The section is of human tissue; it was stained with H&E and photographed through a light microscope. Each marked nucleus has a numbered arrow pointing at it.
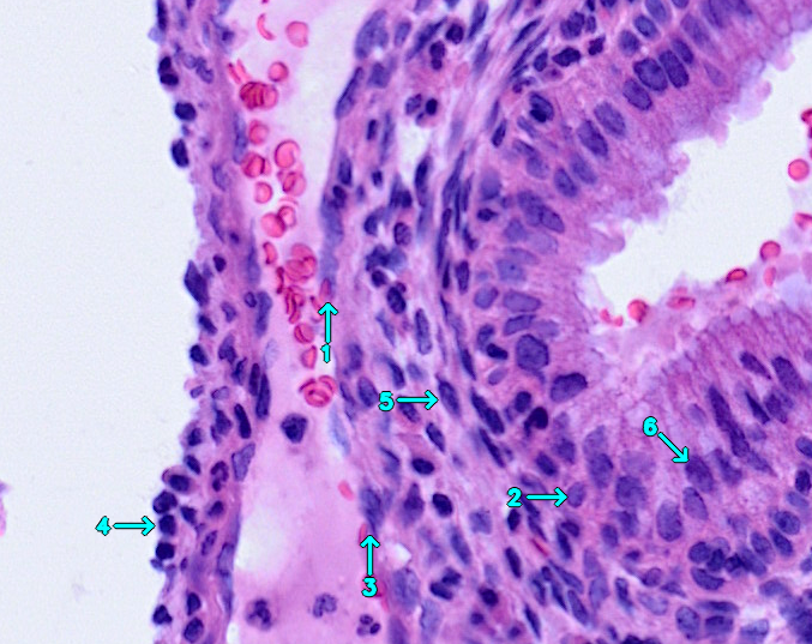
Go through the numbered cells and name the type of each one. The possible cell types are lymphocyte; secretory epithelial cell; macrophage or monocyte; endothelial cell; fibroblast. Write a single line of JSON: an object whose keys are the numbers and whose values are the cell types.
{"1": "endothelial cell", "2": "secretory epithelial cell", "3": "endothelial cell", "4": "lymphocyte", "5": "fibroblast", "6": "secretory epithelial cell"}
